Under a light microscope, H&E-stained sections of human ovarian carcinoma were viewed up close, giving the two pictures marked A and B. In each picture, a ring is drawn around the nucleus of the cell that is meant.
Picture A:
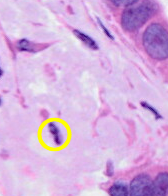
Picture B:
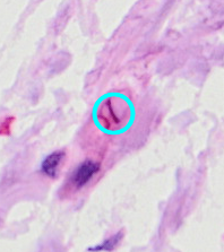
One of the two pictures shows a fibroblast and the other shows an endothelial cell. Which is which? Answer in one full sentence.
Picture A is of a fibroblast, and picture B is of an endothelial cell.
